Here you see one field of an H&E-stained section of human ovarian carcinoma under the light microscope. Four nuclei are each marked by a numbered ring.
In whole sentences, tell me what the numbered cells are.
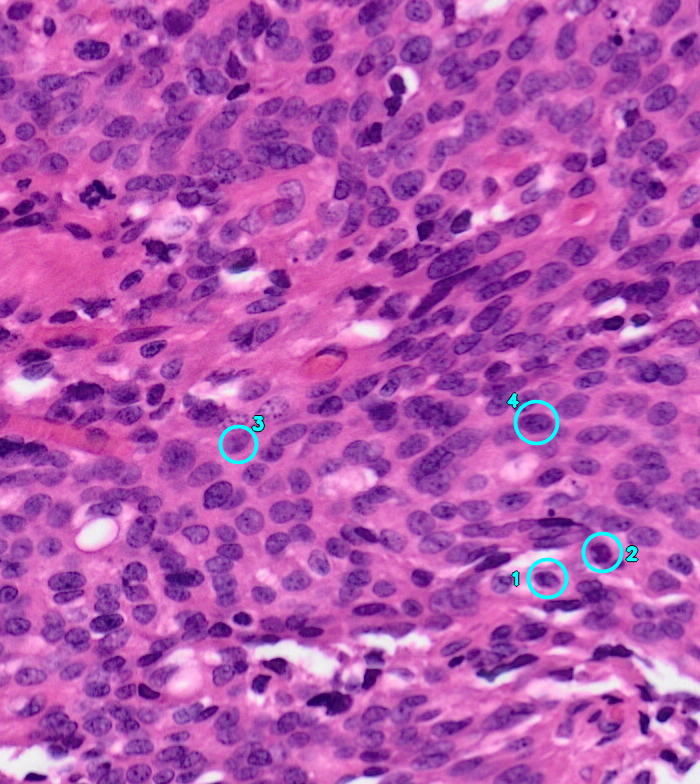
Cell 1 is a macrophage or monocyte. Cells 2, 3 and 4 are carcinoma cells.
